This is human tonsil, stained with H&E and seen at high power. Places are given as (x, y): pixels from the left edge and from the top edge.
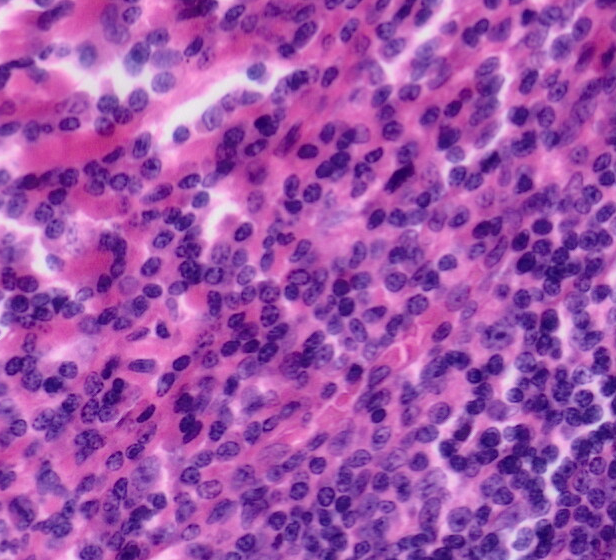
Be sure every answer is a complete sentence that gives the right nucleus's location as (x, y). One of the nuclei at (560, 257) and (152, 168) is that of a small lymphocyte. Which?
The nucleus at (560, 257) is the one of the two that belongs to a small lymphocyte.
